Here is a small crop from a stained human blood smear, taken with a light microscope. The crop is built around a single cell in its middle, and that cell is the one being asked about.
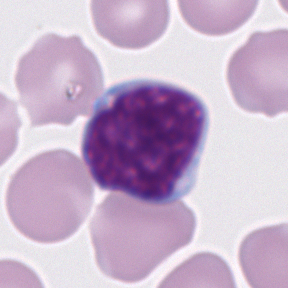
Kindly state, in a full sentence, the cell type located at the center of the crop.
For this crop, the central cell is a lymphocyte.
